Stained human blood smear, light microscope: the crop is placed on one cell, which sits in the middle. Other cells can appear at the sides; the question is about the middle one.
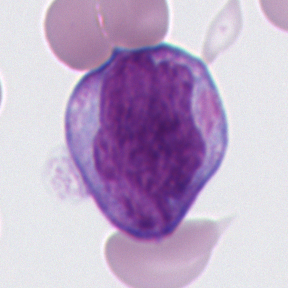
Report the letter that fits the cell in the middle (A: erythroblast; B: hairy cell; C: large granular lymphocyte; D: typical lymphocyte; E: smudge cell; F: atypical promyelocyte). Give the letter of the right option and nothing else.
F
